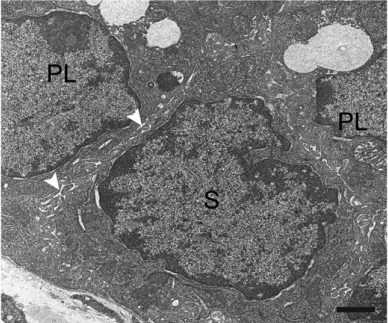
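This electron micrograph shows a crypt base, with a large stem cell in the centre flanked by Paneth-like cells. Paneth-like cells sit to the left and right, and large pale rounded granules lie near the upper right. White arrows point to pale clefts that open between the stem cell and its neighbours, so the cell borders are no longer tightly apposed.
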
